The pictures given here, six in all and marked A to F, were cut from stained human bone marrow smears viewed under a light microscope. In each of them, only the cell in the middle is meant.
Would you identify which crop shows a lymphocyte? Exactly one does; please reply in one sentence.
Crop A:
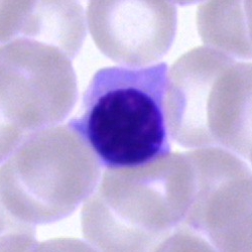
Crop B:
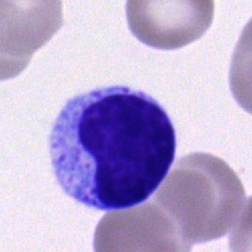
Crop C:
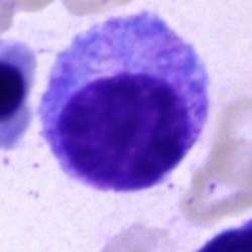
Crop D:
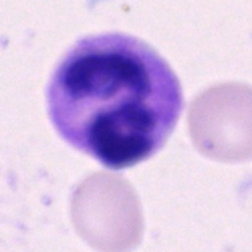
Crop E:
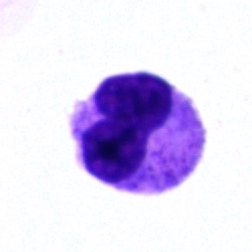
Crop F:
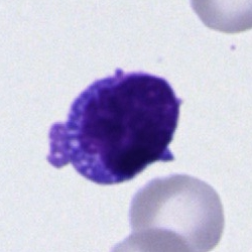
The crop marked B is the one that shows a lymphocyte.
